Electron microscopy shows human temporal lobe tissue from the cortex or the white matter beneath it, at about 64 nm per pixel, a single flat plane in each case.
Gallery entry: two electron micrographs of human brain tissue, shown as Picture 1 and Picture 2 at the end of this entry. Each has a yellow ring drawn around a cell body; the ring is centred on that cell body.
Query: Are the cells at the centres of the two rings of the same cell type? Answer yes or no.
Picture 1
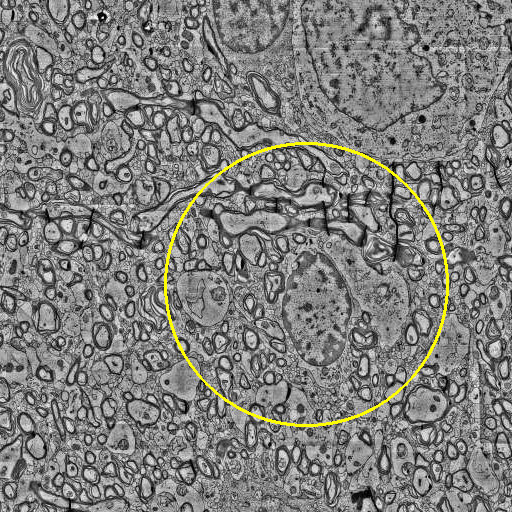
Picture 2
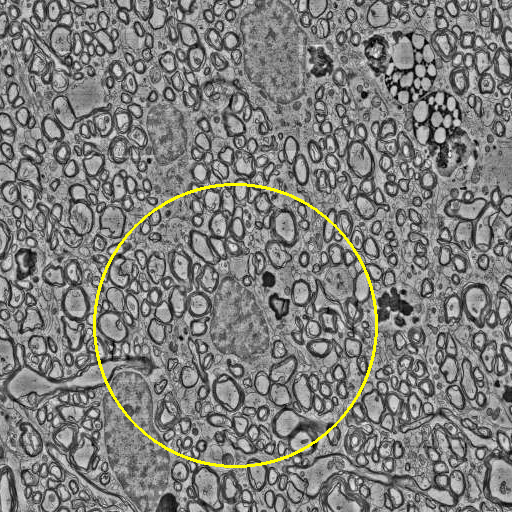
no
